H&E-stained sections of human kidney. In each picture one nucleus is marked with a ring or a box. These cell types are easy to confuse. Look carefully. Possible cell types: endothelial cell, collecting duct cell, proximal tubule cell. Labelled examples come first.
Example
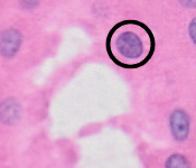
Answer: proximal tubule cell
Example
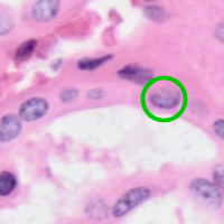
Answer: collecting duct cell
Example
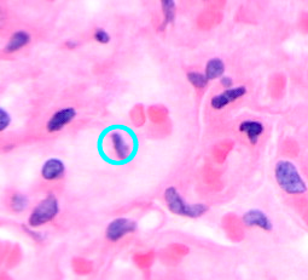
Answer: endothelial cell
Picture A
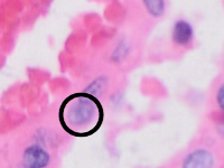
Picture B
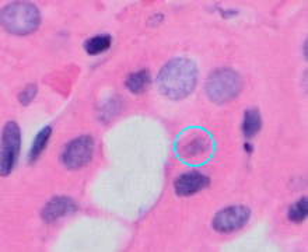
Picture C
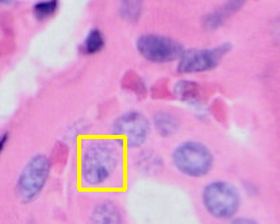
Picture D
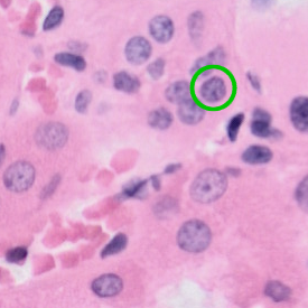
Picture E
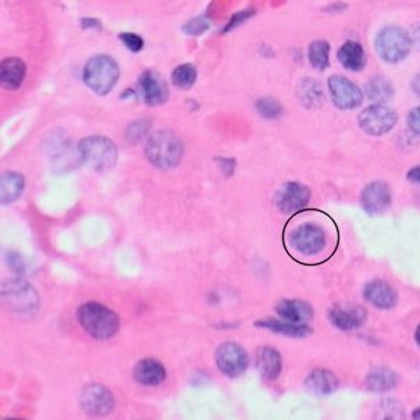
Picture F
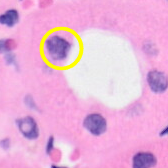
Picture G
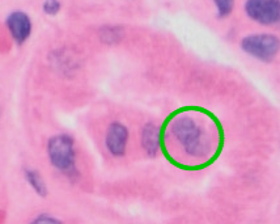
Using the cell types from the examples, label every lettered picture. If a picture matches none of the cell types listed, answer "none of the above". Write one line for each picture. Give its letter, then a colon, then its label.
A: collecting duct cell
B: none of the above
C: collecting duct cell
D: collecting duct cell
E: none of the above
F: none of the above
G: proximal tubule cell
